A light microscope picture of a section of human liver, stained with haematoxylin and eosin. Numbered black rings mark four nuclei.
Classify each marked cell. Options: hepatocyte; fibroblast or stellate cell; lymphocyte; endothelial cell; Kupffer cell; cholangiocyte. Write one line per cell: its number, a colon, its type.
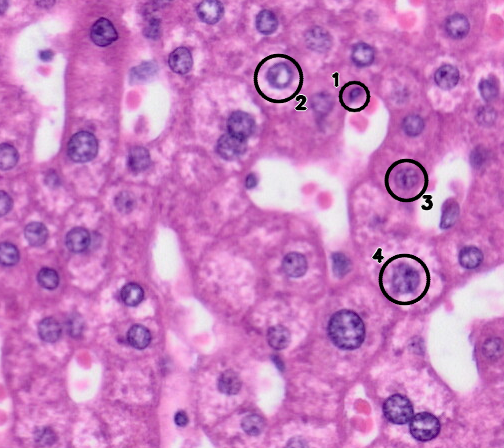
1: fibroblast or stellate cell
2: hepatocyte
3: hepatocyte
4: hepatocyte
